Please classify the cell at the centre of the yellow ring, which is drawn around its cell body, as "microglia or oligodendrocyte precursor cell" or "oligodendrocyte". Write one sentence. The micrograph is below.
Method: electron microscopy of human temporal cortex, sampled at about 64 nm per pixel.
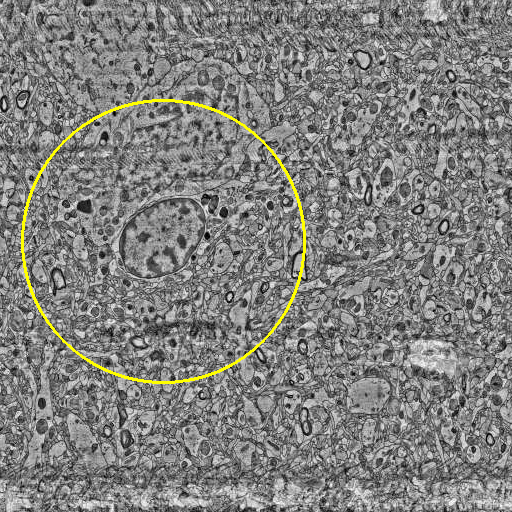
The cell at the ring's centre is classified as a microglial cell or oligodendrocyte precursor cell.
